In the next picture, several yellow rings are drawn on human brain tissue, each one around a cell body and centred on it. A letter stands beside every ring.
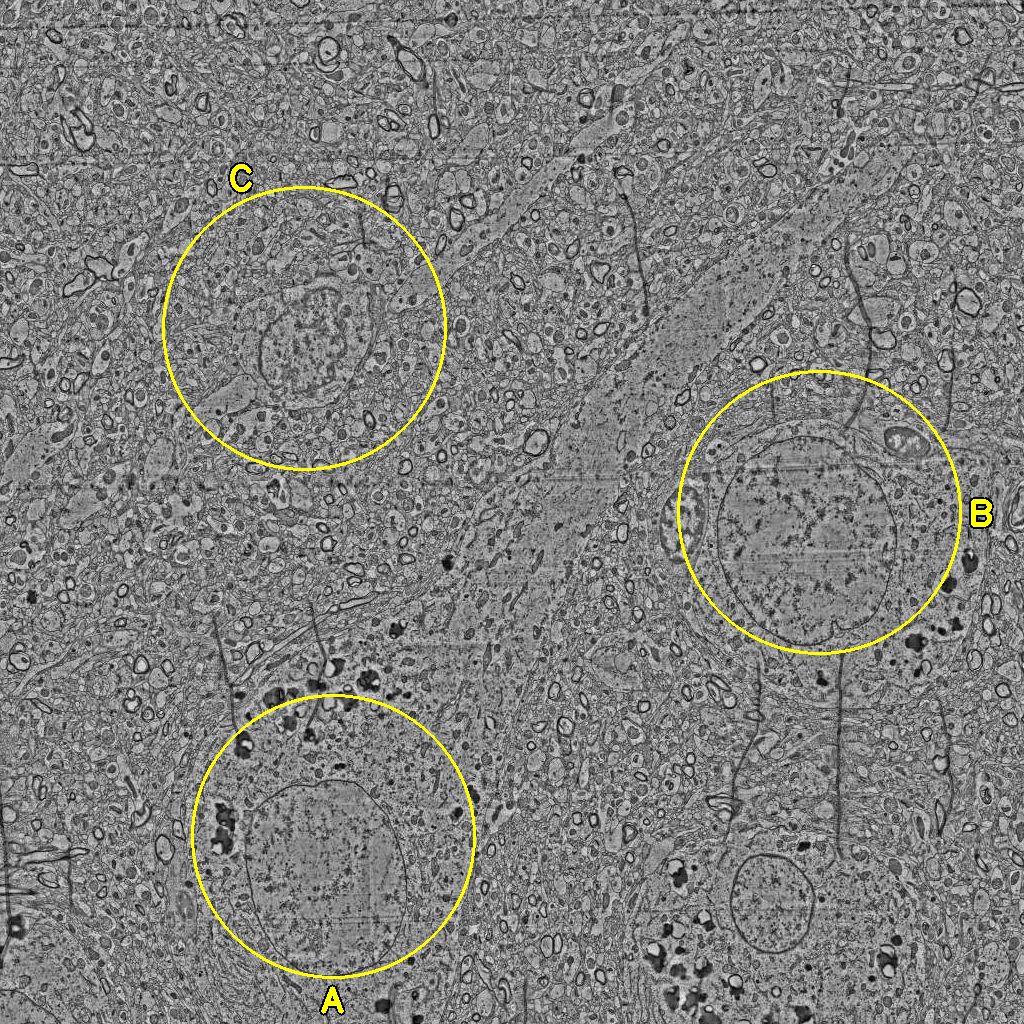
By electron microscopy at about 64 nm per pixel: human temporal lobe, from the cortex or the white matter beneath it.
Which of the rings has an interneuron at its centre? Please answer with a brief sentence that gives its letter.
Ring C has it at its centre.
